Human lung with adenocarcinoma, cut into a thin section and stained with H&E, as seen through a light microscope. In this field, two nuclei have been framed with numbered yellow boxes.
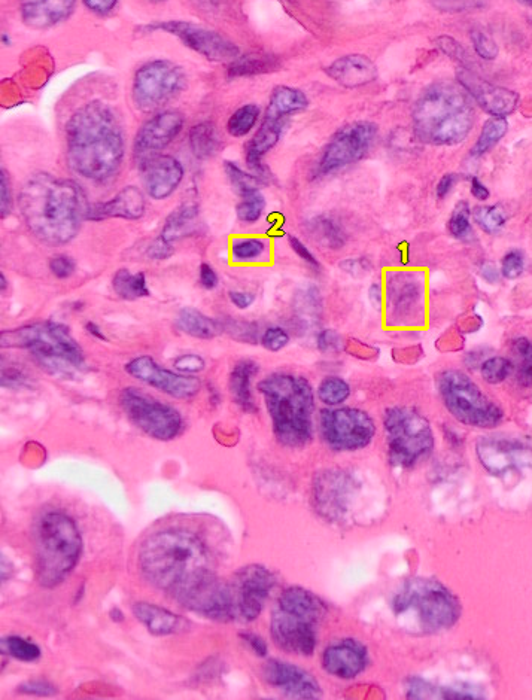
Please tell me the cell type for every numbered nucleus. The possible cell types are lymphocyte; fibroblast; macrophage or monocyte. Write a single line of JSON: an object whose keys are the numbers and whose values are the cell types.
{"1": "macrophage or monocyte", "2": "lymphocyte"}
